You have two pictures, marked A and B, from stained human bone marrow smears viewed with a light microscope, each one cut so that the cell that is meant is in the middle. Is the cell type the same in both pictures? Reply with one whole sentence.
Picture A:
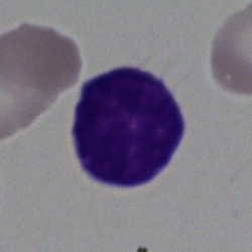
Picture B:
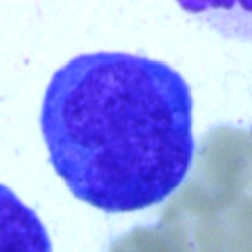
Yes, both are blasts.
